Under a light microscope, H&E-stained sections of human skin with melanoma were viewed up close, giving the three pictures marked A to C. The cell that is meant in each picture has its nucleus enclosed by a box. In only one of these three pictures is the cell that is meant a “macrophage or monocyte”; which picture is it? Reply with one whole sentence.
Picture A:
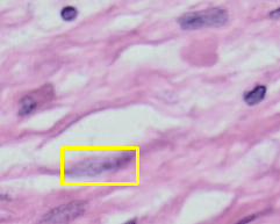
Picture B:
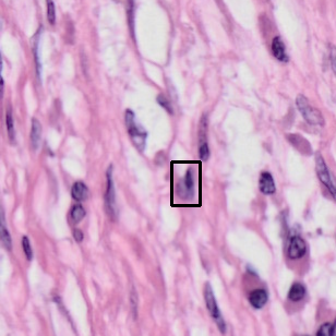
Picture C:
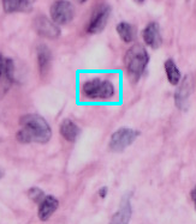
Picture B shows the “macrophage or monocyte”.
